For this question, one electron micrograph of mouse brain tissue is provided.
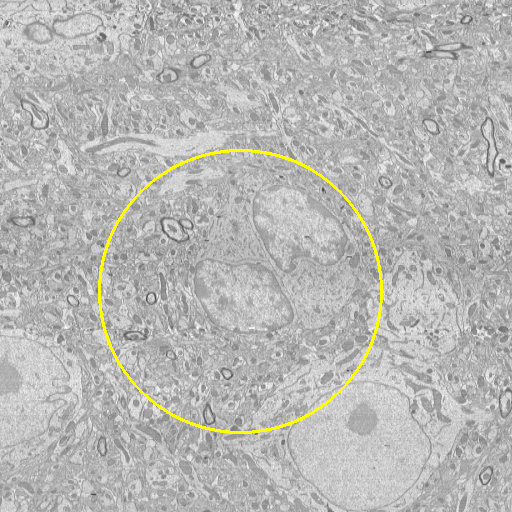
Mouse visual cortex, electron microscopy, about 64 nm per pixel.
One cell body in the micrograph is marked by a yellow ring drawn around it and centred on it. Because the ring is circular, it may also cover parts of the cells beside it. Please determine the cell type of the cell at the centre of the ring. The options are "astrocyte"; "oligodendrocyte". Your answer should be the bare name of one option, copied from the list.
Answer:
oligodendrocyte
